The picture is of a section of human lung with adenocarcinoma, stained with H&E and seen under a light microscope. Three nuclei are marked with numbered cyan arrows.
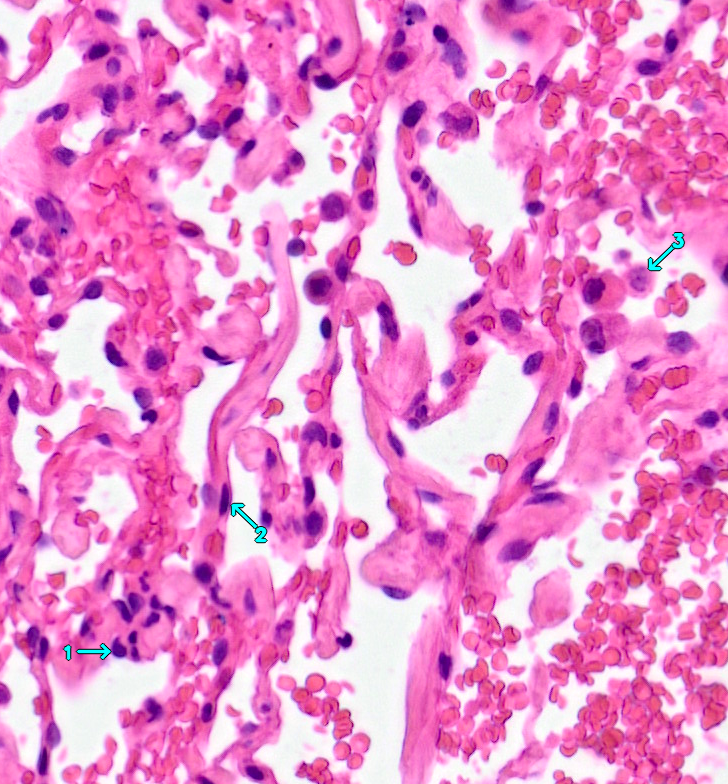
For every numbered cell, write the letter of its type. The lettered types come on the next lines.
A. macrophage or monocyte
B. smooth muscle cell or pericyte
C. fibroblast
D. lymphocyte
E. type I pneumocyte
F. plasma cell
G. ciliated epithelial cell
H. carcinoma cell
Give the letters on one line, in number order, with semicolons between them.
E; E; A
